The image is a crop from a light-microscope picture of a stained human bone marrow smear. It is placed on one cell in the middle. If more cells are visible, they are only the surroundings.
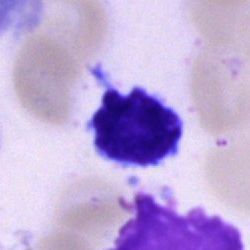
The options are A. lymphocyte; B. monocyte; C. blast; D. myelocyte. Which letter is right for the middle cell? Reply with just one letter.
A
